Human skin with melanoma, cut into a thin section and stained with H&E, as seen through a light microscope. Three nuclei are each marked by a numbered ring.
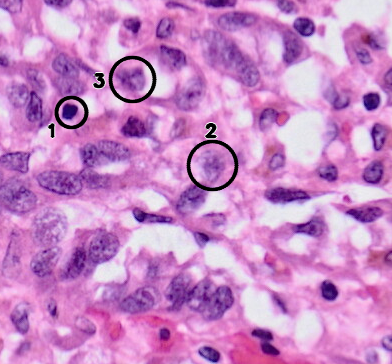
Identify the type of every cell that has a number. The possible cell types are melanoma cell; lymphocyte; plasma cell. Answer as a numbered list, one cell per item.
1. lymphocyte
2. melanoma cell
3. melanoma cell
